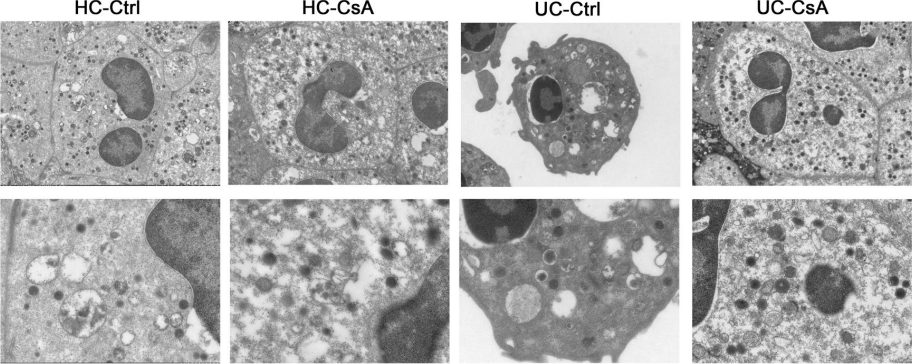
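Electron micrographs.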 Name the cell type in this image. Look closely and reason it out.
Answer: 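Neutrophils. The cytoplasm is packed with many small, round, dark granules. The nuclei have dense chromatin gathered along their edges.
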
